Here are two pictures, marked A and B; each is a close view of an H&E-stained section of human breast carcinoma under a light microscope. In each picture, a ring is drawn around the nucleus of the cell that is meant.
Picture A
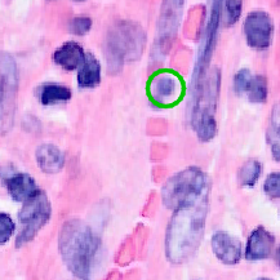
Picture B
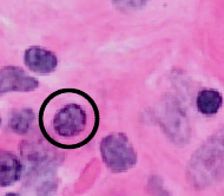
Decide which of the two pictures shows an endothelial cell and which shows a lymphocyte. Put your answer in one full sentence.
Picture A shows an endothelial cell and picture B shows a lymphocyte.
